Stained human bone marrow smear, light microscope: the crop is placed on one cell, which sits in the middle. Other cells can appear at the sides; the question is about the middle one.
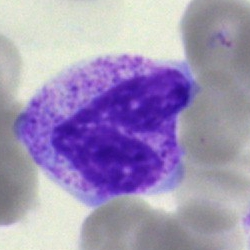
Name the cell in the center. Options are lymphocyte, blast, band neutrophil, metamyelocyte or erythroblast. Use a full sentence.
In the middle of this smear crop, the cell is a band neutrophil.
